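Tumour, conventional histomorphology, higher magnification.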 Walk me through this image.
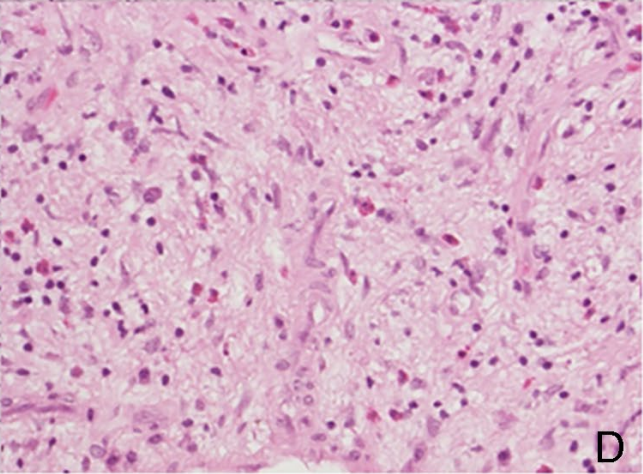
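A loose, pale, somewhat myxoid stroma holds bland spindle cells with elongated, evenly stained nuclei. Scattered among them are inflammatory cells: small round dark nuclei and cells with bright red-pink granular cytoplasm, the latter fitting eosinophilic granulocytes. Thin capillary-like vessels run through the stroma.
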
